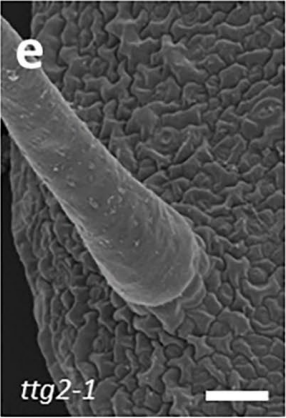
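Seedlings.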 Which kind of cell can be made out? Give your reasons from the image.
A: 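Trichome. A single tapering spike projects from the leaf surface. The spike surface is covered with small papillae. Wavy interlocking epidermal cells surround its base.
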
